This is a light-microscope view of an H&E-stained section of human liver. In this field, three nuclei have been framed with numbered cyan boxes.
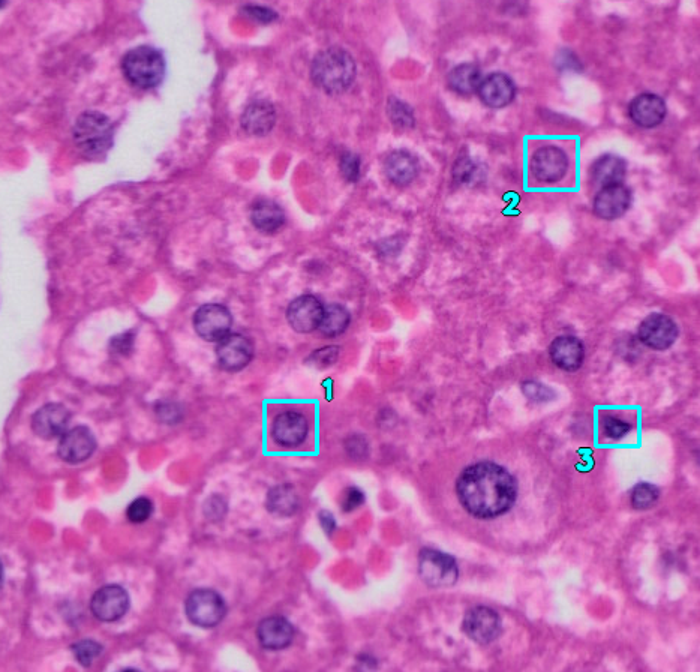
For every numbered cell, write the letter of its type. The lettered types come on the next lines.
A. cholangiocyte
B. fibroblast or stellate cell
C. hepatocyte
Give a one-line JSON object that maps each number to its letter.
{"1": "C", "2": "C", "3": "B"}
